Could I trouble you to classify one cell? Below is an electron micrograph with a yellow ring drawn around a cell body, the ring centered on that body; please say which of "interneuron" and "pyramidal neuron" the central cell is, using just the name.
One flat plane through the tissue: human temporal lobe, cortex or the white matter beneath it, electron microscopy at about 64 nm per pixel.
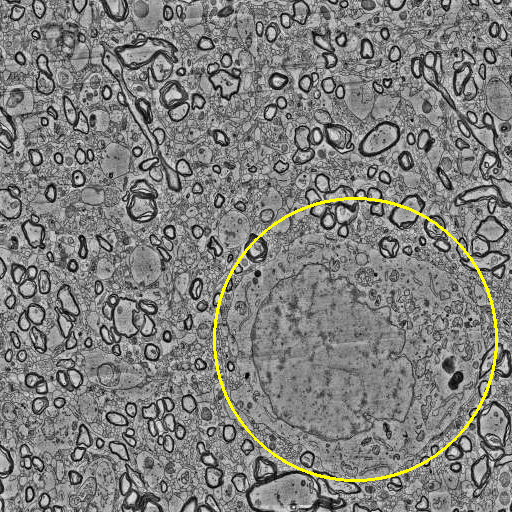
interneuron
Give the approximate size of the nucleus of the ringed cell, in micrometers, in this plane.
Roughly 12 by 10 micrometres in this plane, for the nucleus of the ringed cell.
